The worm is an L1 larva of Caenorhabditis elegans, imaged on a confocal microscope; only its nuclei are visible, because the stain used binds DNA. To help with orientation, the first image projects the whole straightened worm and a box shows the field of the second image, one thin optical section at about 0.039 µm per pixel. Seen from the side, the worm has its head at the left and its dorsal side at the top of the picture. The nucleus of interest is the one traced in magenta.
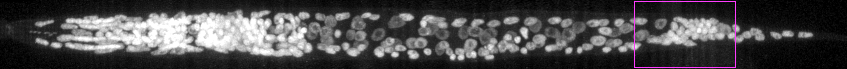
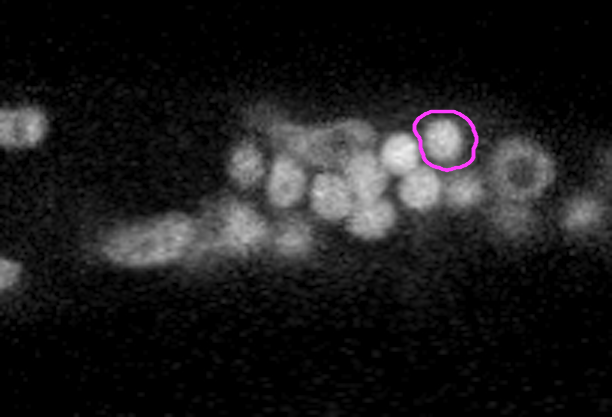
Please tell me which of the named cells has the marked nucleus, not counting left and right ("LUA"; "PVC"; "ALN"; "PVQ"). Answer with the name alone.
ALN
